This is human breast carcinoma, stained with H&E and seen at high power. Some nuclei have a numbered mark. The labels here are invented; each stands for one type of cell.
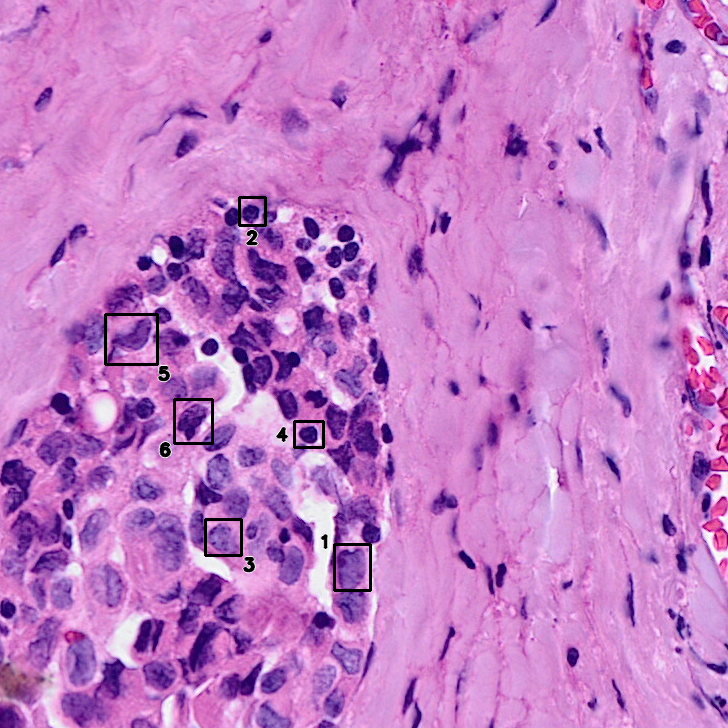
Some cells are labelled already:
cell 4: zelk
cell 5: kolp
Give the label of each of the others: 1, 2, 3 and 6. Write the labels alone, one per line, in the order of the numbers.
kolp
zelk
kolp
kolp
